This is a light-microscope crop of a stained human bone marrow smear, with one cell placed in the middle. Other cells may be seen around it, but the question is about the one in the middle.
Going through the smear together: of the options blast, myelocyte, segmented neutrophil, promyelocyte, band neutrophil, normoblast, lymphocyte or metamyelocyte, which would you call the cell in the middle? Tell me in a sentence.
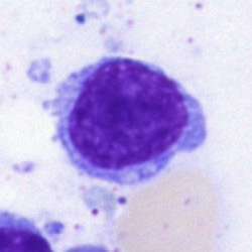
Positioned in the middle of the crop is a lymphocyte.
